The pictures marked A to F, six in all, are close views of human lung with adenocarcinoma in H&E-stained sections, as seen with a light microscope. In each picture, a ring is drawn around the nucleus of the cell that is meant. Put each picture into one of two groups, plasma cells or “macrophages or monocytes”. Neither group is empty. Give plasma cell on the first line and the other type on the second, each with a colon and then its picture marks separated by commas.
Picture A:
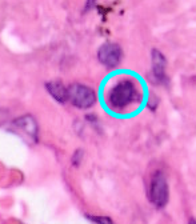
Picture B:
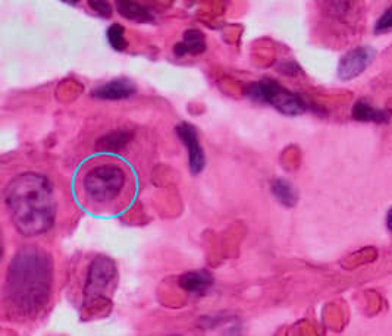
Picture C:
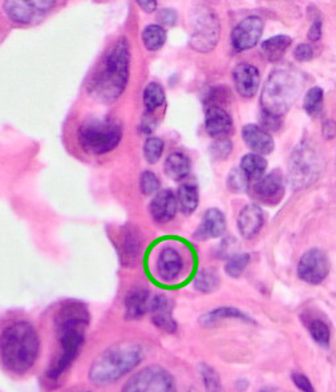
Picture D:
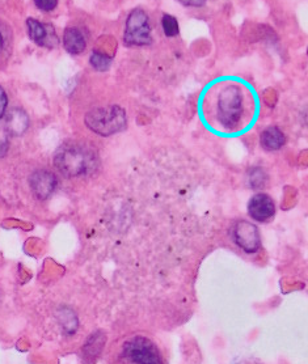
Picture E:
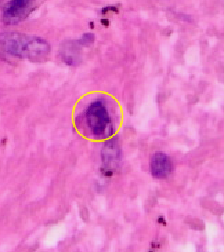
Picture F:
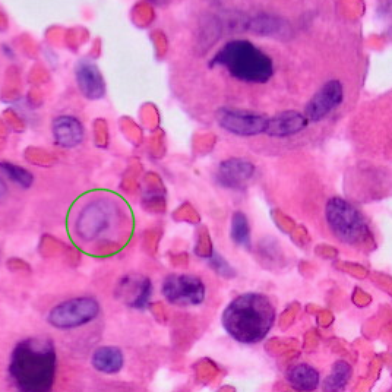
plasma cell: A, C, E
macrophage or monocyte: B, D, F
